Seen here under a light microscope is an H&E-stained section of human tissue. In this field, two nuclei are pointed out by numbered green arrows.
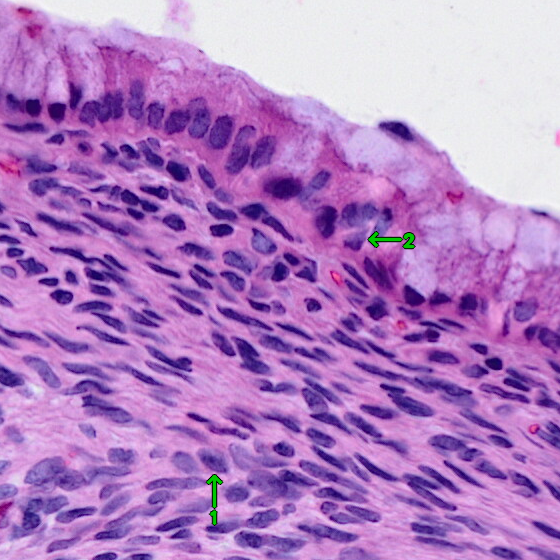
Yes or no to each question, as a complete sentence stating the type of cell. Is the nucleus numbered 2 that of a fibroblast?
No, what is marked as number 2 is a secretory epithelial cell rather than a fibroblast.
